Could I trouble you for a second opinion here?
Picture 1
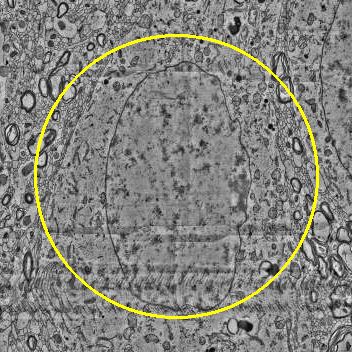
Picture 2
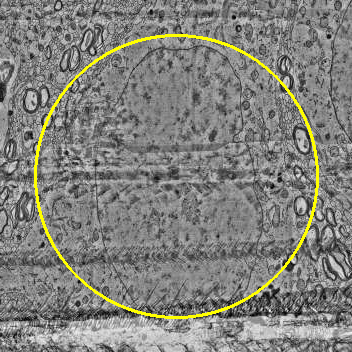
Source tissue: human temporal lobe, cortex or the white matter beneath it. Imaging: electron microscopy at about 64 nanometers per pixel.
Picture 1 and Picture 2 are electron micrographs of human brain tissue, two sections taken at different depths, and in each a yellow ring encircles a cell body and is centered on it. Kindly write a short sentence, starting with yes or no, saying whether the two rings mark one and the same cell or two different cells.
Yes, the two rings belong to one cell, not to two.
